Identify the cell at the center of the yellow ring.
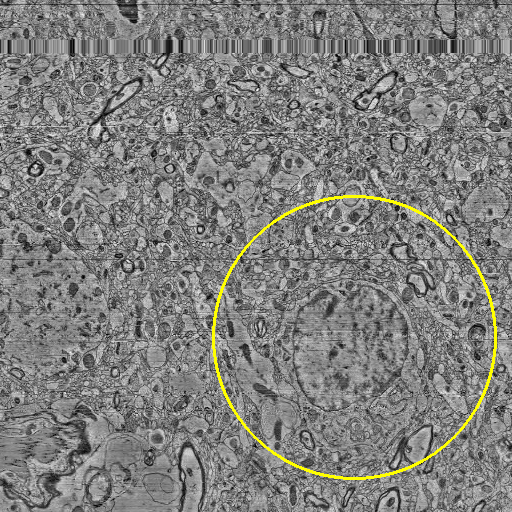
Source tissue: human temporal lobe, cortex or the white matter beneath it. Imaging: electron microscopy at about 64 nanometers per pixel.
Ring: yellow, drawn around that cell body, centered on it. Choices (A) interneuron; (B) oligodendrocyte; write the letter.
A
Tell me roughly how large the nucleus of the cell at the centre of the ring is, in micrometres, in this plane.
Roughly 9 micrometres by 8 micrometres, in this plane.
